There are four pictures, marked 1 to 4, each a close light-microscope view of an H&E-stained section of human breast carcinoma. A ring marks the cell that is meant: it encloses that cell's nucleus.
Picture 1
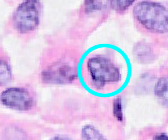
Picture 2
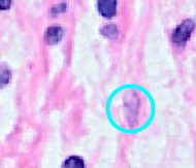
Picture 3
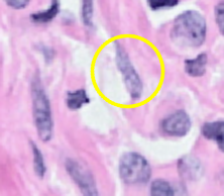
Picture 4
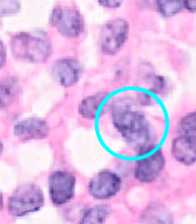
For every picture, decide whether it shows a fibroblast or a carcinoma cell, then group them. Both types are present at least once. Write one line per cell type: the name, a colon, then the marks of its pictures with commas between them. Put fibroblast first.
fibroblast: 2, 3
carcinoma cell: 1, 4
